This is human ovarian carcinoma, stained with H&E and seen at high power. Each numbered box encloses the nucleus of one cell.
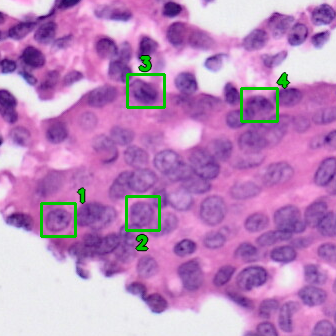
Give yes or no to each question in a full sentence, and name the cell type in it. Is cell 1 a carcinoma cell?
No, cell 1 is a macrophage or monocyte, not a carcinoma cell.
